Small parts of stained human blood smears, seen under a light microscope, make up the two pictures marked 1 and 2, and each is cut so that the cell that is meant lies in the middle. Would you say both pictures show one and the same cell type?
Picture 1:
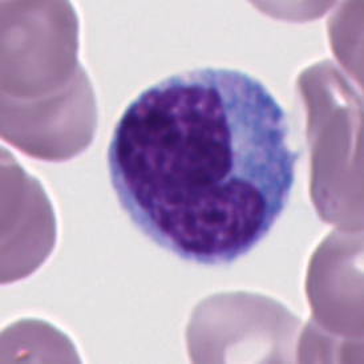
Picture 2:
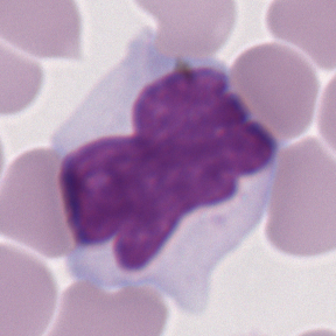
yes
